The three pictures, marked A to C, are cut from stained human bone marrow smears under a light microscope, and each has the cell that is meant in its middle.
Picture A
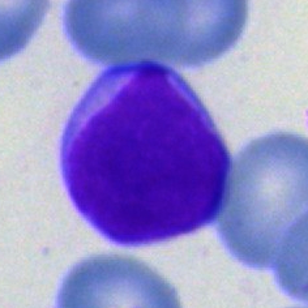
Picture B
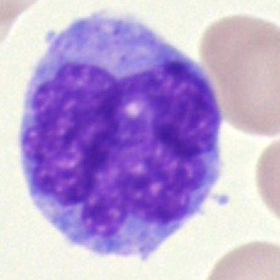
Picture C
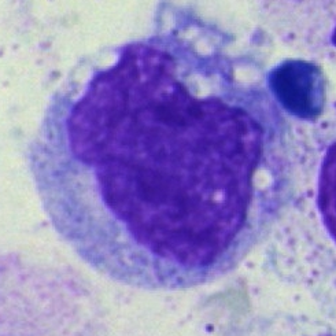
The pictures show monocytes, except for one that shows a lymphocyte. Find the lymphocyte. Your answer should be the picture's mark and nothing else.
A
